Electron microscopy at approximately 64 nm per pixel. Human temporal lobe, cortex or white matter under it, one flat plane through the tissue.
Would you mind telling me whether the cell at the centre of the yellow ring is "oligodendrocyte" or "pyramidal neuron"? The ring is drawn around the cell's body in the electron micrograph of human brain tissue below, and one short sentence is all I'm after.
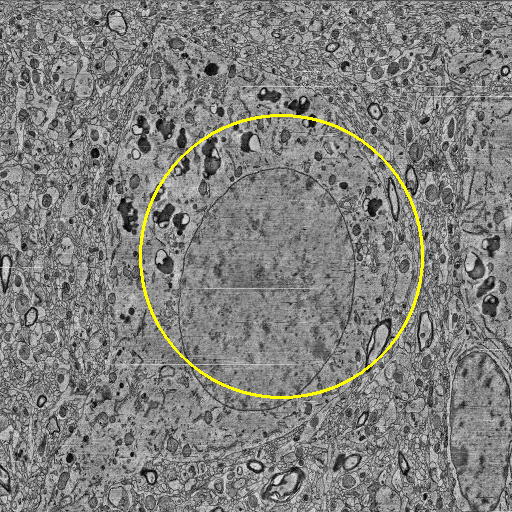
In the centre of the ring lies a pyramidal neuron.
